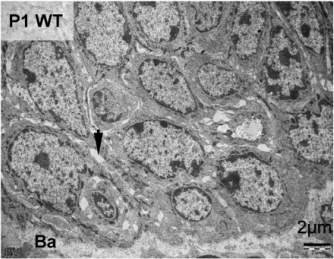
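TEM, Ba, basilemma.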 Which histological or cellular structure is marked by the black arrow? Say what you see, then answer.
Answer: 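The arrow tip lies on a thin line between two neighbouring cells. The arrow lies outside any nucleus, in the narrow space where two cell borders meet. On this evidence: intervals between cells.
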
